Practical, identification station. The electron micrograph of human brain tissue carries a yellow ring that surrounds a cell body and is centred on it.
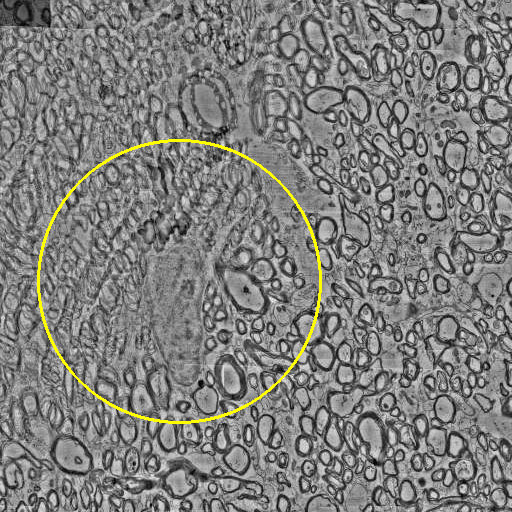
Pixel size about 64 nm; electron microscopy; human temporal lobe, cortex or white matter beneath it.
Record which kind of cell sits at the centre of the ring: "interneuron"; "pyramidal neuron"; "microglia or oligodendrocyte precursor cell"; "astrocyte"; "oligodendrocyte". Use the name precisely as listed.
oligodendrocyte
